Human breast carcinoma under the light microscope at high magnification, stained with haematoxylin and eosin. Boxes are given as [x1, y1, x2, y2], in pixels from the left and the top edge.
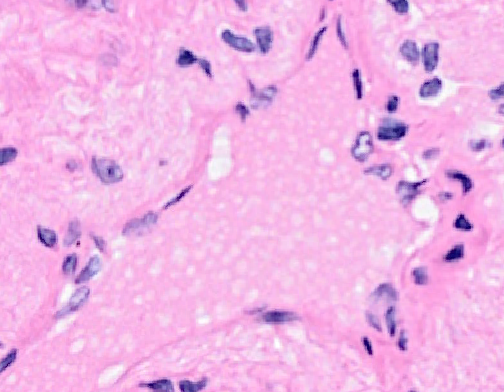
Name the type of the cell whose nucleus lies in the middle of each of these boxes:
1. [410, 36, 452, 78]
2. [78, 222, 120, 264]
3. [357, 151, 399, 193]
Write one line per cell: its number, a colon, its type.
1: lymphocyte
2: endothelial cell
3: endothelial cell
